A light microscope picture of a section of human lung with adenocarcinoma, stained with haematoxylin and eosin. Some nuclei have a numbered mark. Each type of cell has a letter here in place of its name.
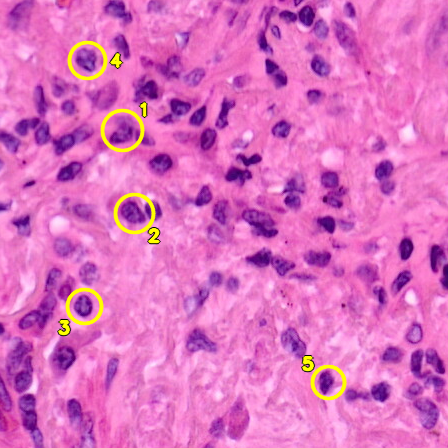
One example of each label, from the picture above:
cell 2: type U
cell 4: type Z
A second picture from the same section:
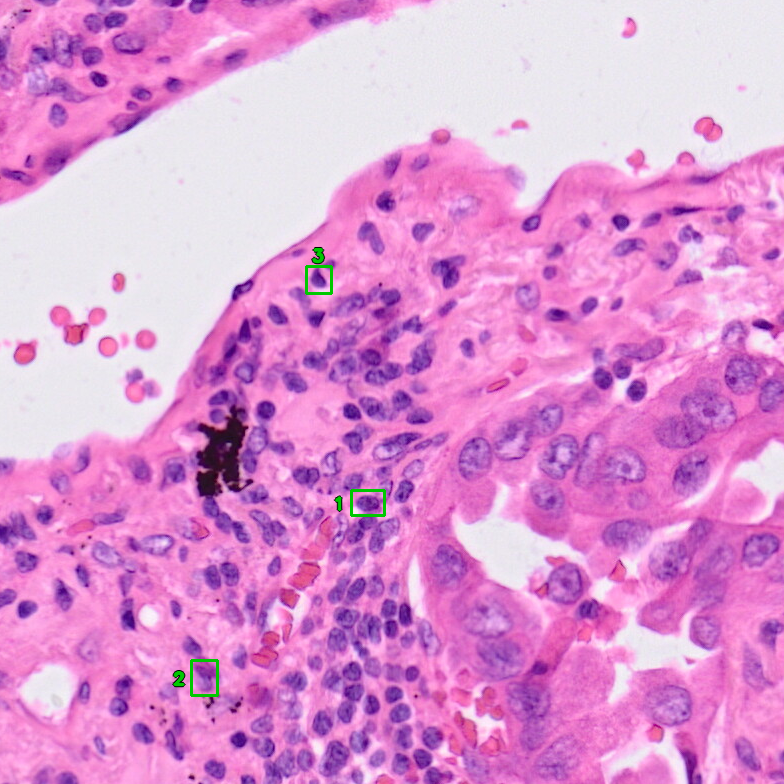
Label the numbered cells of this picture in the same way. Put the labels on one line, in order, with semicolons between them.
type Z; type U; type Z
